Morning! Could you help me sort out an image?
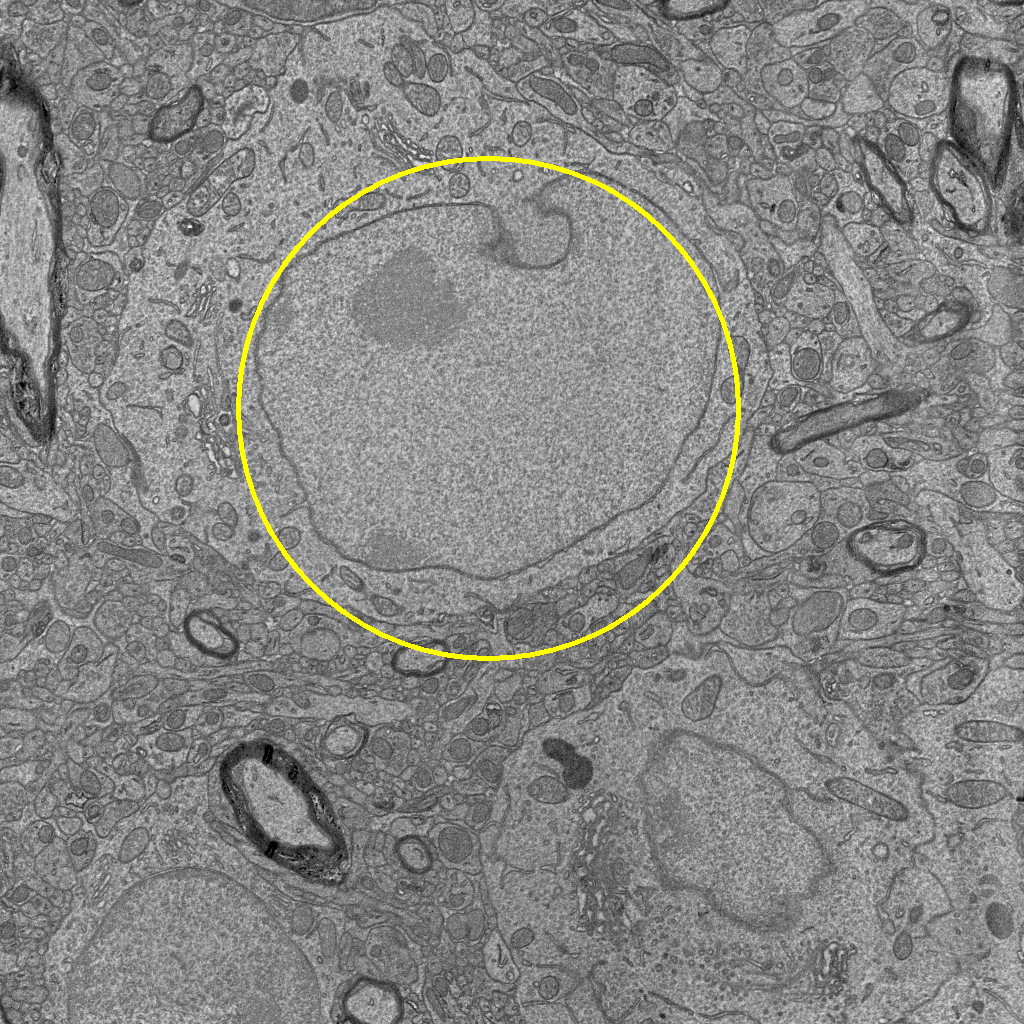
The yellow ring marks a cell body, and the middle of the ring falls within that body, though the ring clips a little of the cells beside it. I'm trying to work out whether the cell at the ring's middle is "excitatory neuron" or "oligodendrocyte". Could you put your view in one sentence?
The cell body at the ring's middle is that of an excitatory neuron.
